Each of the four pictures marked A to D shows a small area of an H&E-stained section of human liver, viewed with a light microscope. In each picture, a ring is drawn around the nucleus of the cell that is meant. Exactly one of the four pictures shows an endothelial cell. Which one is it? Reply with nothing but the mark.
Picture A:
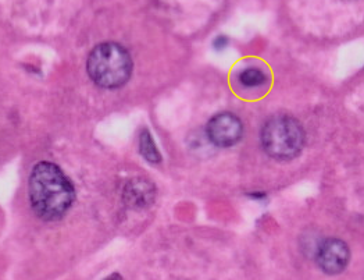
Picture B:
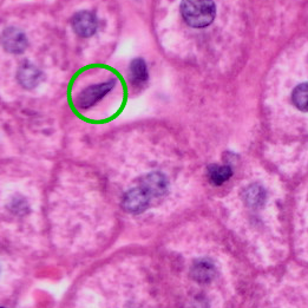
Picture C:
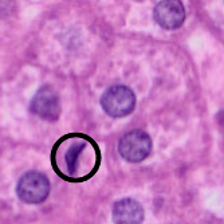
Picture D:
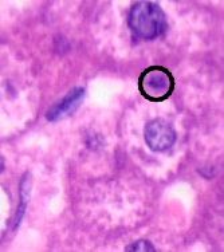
C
